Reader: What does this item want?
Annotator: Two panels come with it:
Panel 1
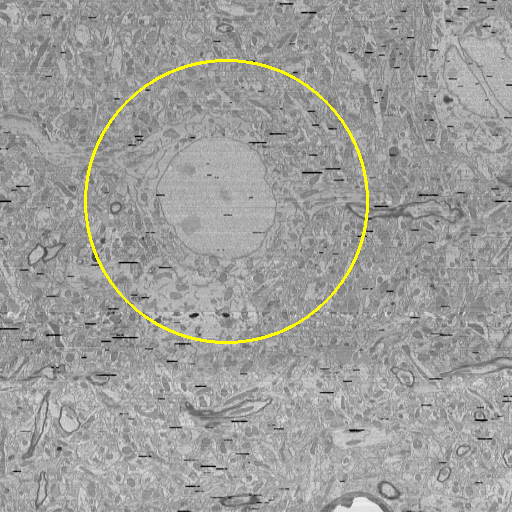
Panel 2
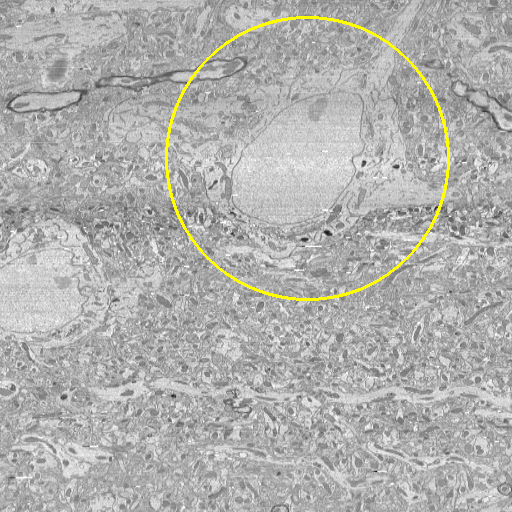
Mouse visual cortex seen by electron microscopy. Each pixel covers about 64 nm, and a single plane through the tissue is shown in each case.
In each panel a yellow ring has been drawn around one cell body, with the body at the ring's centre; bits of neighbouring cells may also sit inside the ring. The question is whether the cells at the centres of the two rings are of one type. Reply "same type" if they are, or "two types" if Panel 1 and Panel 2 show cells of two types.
same type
